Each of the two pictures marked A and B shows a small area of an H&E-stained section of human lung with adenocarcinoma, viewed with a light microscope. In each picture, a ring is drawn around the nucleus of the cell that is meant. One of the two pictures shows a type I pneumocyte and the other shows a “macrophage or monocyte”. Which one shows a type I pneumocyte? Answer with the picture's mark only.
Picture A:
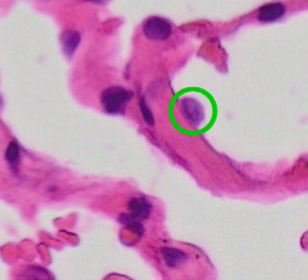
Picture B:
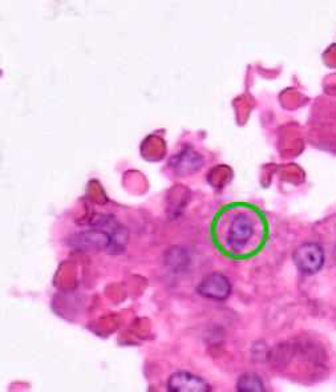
A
